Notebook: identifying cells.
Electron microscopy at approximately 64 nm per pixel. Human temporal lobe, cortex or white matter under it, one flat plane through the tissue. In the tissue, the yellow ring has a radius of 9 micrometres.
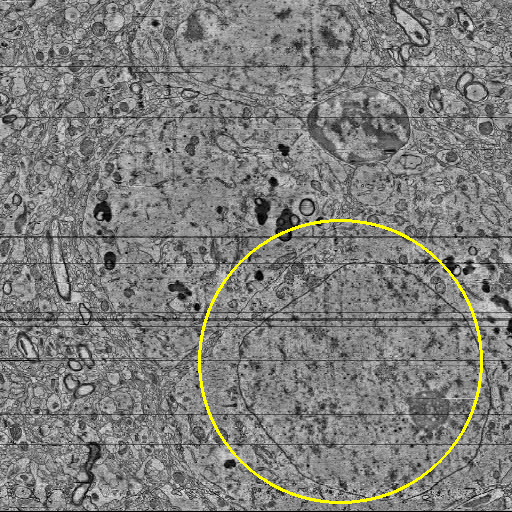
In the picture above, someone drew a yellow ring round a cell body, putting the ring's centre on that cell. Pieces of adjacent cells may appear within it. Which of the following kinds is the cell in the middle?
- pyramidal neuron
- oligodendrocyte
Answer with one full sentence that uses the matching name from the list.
In this picture, the yellow ring is centred on the body of a pyramidal neuron.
